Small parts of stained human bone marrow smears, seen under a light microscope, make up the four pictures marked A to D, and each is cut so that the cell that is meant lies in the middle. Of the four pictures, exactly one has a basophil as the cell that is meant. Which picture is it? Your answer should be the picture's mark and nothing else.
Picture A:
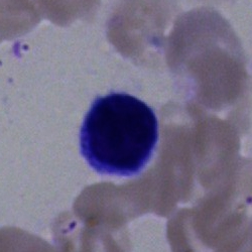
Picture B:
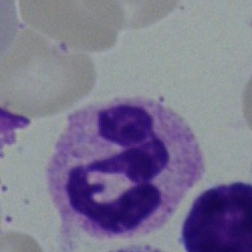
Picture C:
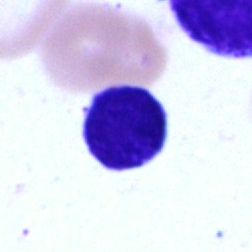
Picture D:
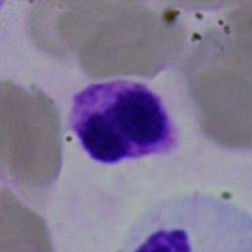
D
